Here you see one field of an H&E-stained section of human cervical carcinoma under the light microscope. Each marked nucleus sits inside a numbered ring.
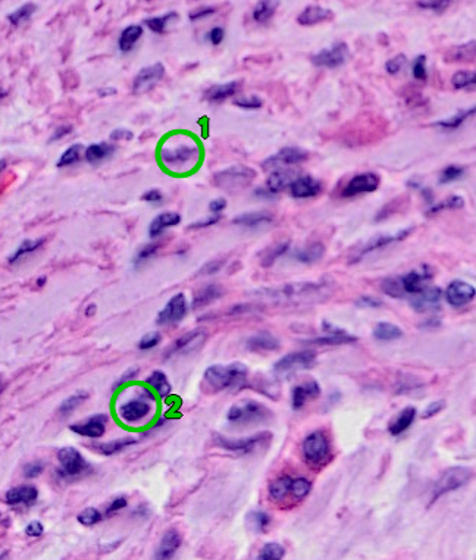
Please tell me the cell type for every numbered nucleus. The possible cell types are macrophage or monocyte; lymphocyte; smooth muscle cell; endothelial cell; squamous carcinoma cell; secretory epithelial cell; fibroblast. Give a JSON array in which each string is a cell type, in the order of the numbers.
["fibroblast", "lymphocyte"]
